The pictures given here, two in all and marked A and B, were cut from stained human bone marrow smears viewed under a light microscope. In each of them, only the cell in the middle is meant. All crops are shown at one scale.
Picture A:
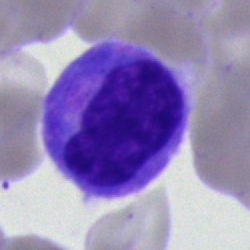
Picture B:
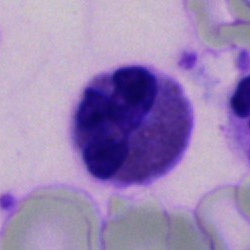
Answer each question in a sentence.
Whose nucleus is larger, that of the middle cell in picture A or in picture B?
The nucleus in picture A is larger, with about 2 times the area of the one in picture B.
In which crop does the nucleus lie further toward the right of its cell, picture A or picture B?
The nucleus in picture A lies further toward the right of its cell.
